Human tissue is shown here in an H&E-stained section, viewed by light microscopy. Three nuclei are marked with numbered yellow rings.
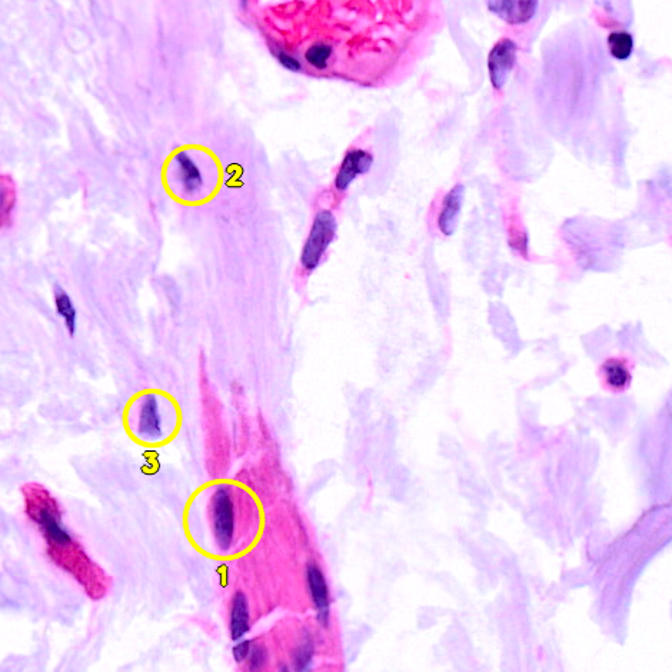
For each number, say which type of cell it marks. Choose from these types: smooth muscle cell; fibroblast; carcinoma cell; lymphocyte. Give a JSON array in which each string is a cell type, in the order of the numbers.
["smooth muscle cell", "fibroblast", "fibroblast"]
